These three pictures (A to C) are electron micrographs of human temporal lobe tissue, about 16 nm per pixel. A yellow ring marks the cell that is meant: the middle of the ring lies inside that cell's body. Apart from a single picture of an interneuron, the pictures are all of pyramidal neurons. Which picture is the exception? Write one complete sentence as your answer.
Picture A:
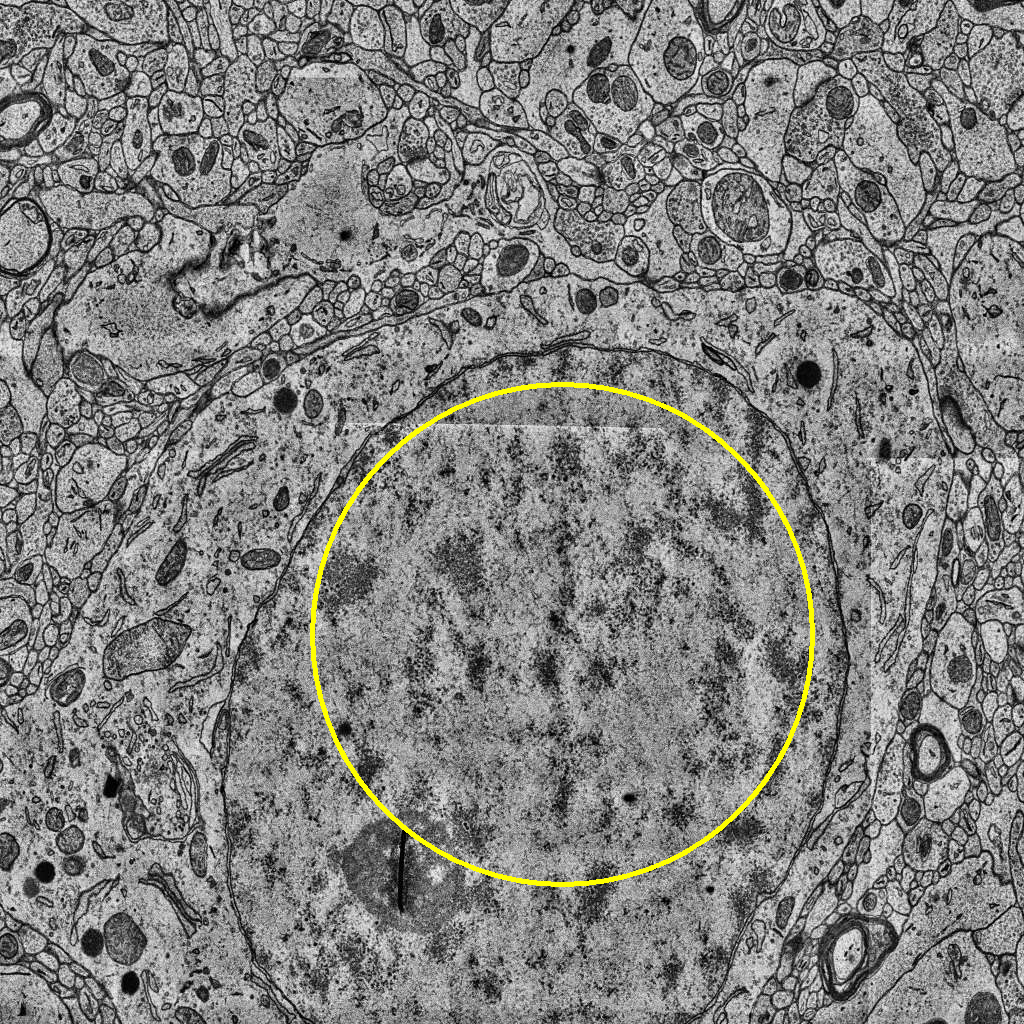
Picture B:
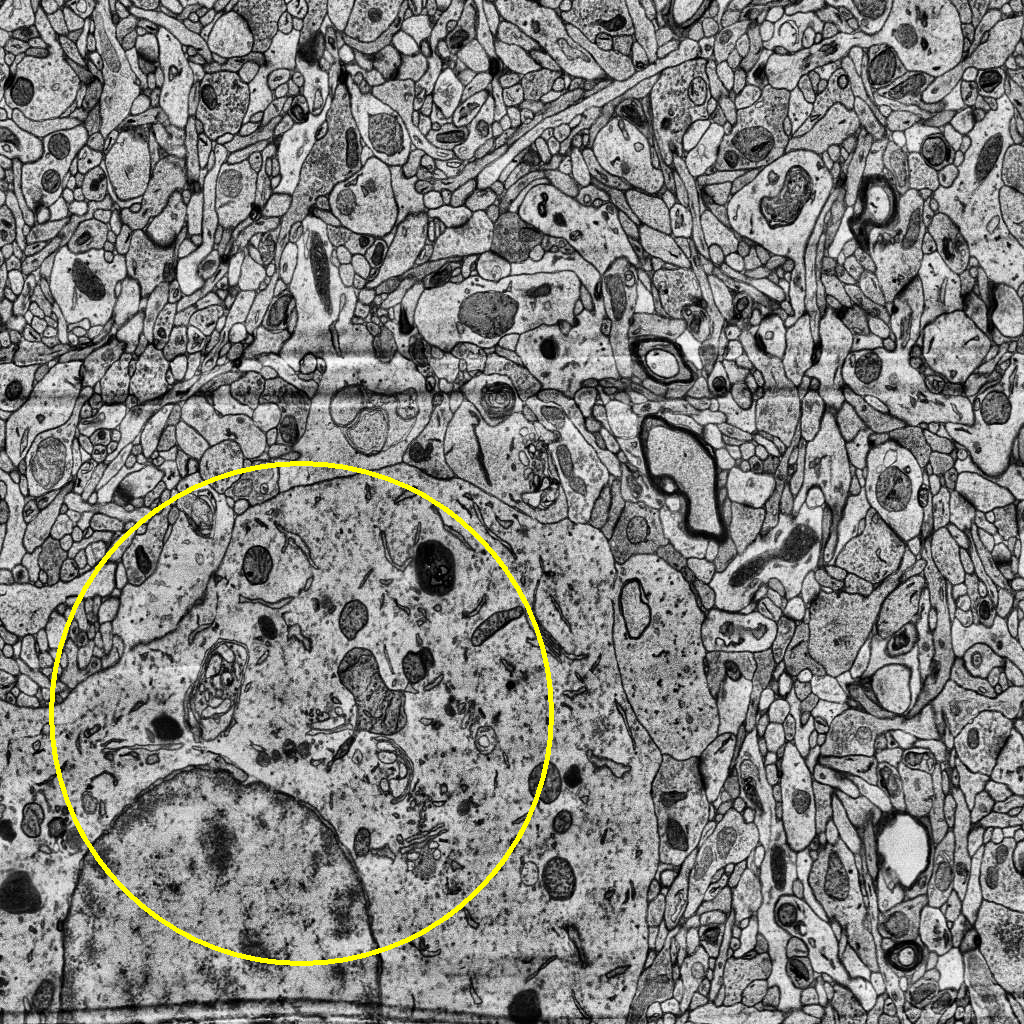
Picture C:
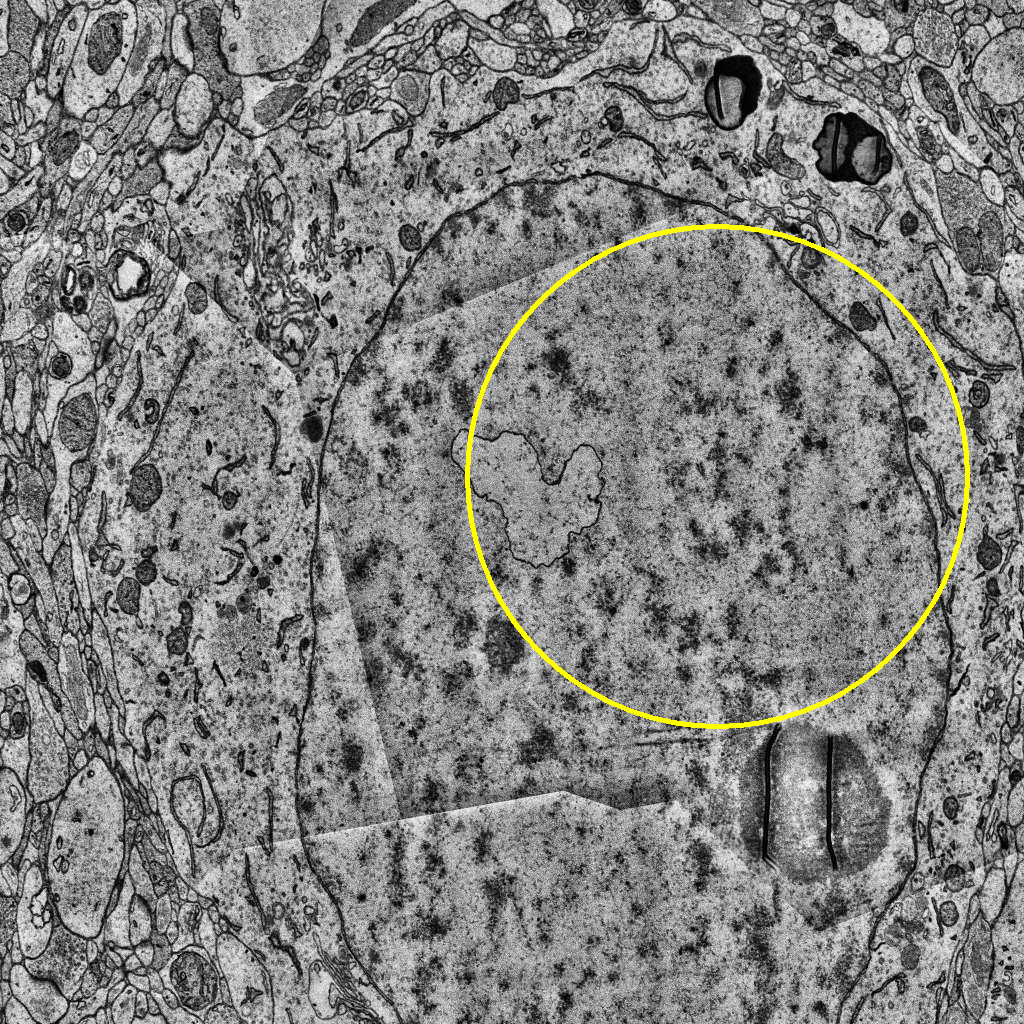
The cell in picture A is the interneuron.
